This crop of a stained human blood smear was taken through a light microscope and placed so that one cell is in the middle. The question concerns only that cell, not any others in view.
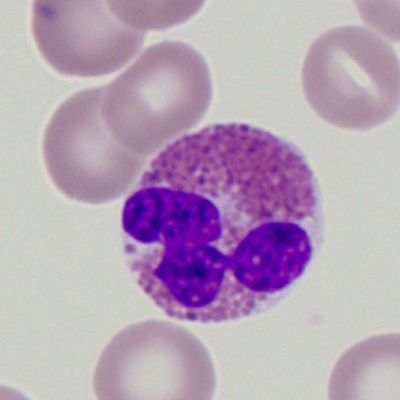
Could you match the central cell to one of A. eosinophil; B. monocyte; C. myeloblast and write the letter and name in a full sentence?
Option A is the right choice, the central cell being an eosinophil.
